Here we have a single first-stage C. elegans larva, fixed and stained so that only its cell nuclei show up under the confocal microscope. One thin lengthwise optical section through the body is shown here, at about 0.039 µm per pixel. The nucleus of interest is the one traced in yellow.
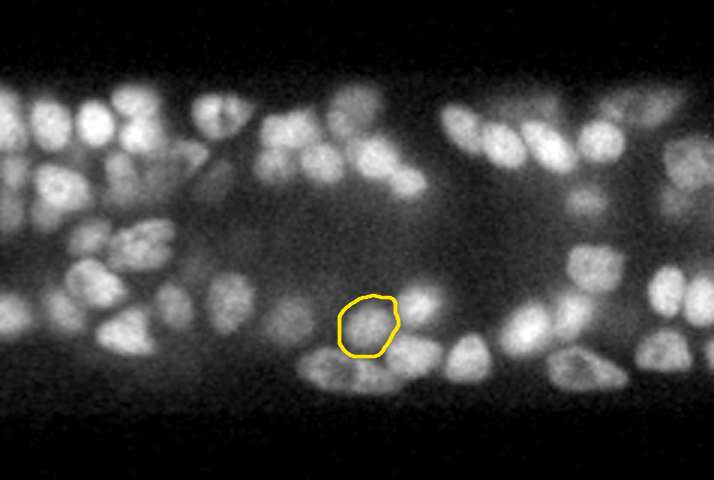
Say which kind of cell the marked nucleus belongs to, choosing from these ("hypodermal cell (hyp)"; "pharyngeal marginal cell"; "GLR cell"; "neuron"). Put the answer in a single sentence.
The marked nucleus is that of a neuron.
